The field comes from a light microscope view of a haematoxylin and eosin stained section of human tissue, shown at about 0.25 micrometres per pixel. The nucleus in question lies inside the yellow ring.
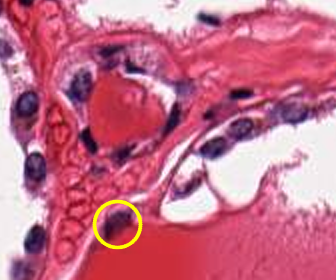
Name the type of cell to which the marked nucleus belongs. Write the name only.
thyroid follicular cell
